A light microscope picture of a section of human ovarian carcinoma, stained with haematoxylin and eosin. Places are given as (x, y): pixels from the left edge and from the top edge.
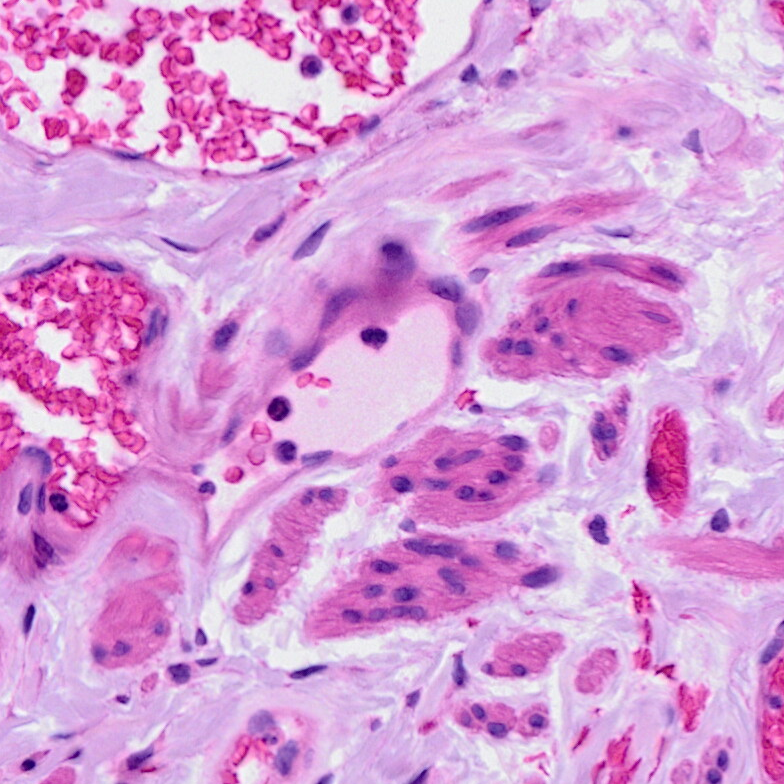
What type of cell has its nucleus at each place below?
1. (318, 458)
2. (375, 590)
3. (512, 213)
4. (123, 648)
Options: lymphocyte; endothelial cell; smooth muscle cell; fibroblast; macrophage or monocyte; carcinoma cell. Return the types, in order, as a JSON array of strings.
["endothelial cell", "smooth muscle cell", "smooth muscle cell", "smooth muscle cell"]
